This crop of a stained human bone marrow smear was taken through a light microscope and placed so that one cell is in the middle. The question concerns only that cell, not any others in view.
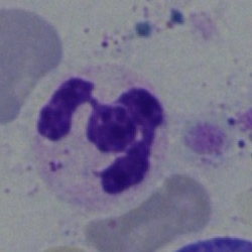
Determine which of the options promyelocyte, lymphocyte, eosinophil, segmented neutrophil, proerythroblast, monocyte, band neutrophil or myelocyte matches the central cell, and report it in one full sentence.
The cell of interest, in the center, is a segmented neutrophil.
